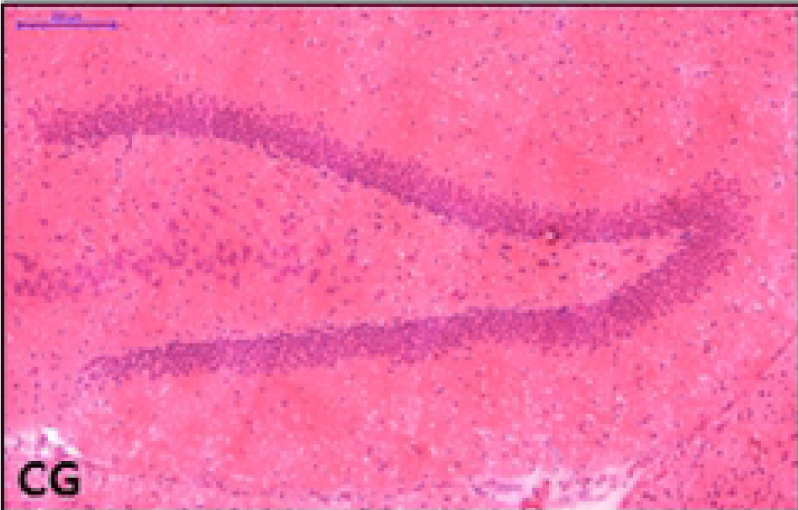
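At low power this is the dentate gyrus of the hippocampus, seen as a purple, densely cellular granule cell layer folded into two blades that meet at a rounded apex on the right. The blades are narrow, evenly thick bands of tightly packed small nuclei. The contrast between the crowded purple band and the pale pink surroundings is what outlines the structure.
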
